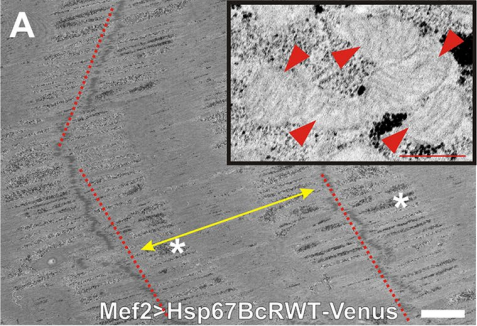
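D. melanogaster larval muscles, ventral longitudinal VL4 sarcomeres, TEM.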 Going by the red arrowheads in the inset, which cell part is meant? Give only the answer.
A: Mitochondria.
